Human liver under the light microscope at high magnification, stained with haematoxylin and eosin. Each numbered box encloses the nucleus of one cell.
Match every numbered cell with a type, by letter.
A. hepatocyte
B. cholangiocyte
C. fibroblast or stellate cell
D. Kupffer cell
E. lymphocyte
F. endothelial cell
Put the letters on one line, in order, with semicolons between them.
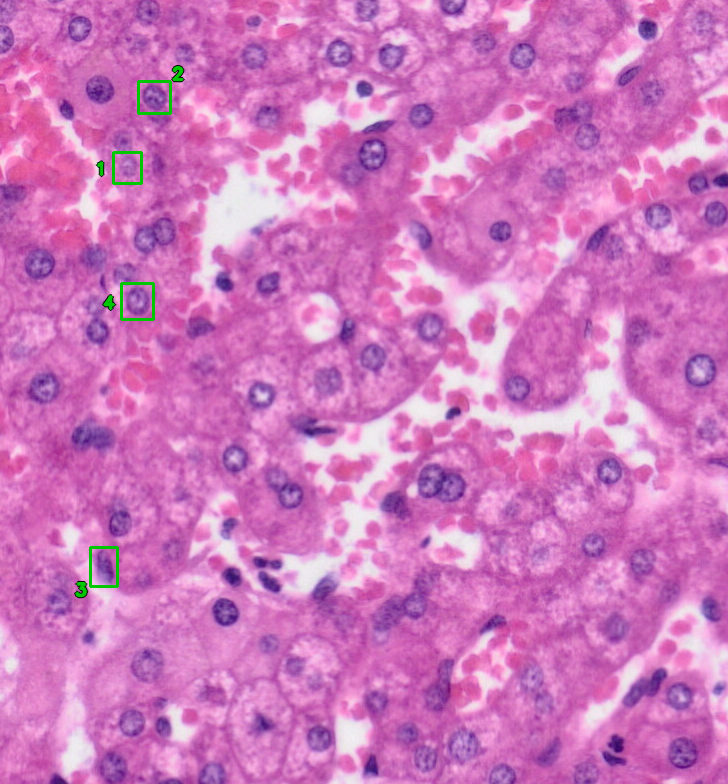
A; A; D; A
